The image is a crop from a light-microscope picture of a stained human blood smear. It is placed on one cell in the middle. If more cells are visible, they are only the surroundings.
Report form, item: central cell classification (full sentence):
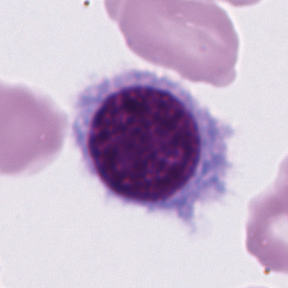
Of the cells in this crop, the central one is a hairy cell.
